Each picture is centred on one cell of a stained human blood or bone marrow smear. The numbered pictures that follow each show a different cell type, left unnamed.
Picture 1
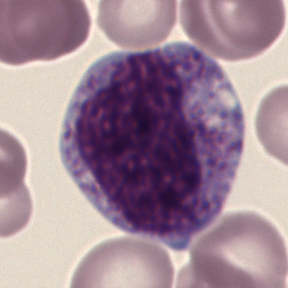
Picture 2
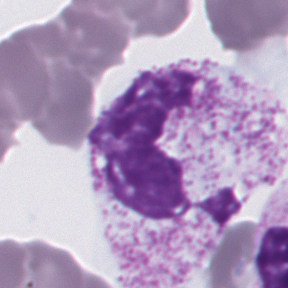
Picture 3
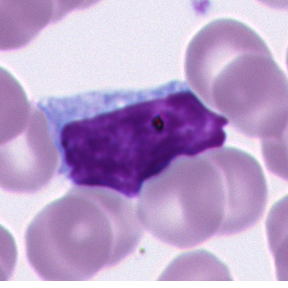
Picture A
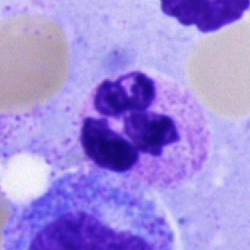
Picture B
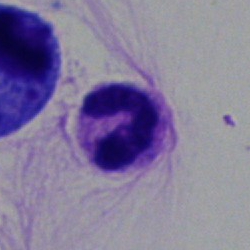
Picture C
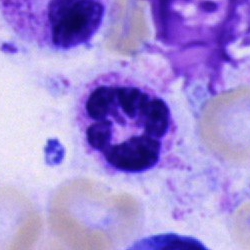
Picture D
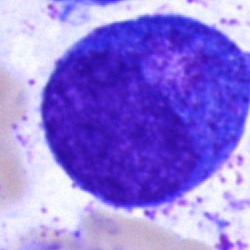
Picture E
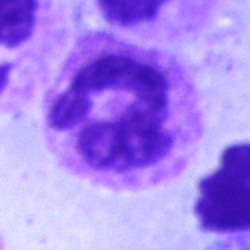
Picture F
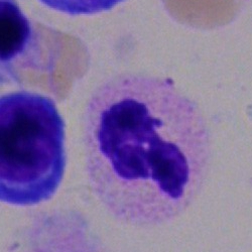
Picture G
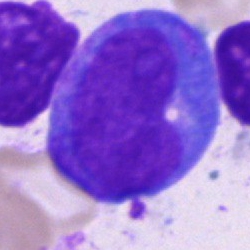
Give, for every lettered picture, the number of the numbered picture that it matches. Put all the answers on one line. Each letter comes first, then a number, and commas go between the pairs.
A 2, B 2, C 2, D 1, E 2, F 2, G 1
